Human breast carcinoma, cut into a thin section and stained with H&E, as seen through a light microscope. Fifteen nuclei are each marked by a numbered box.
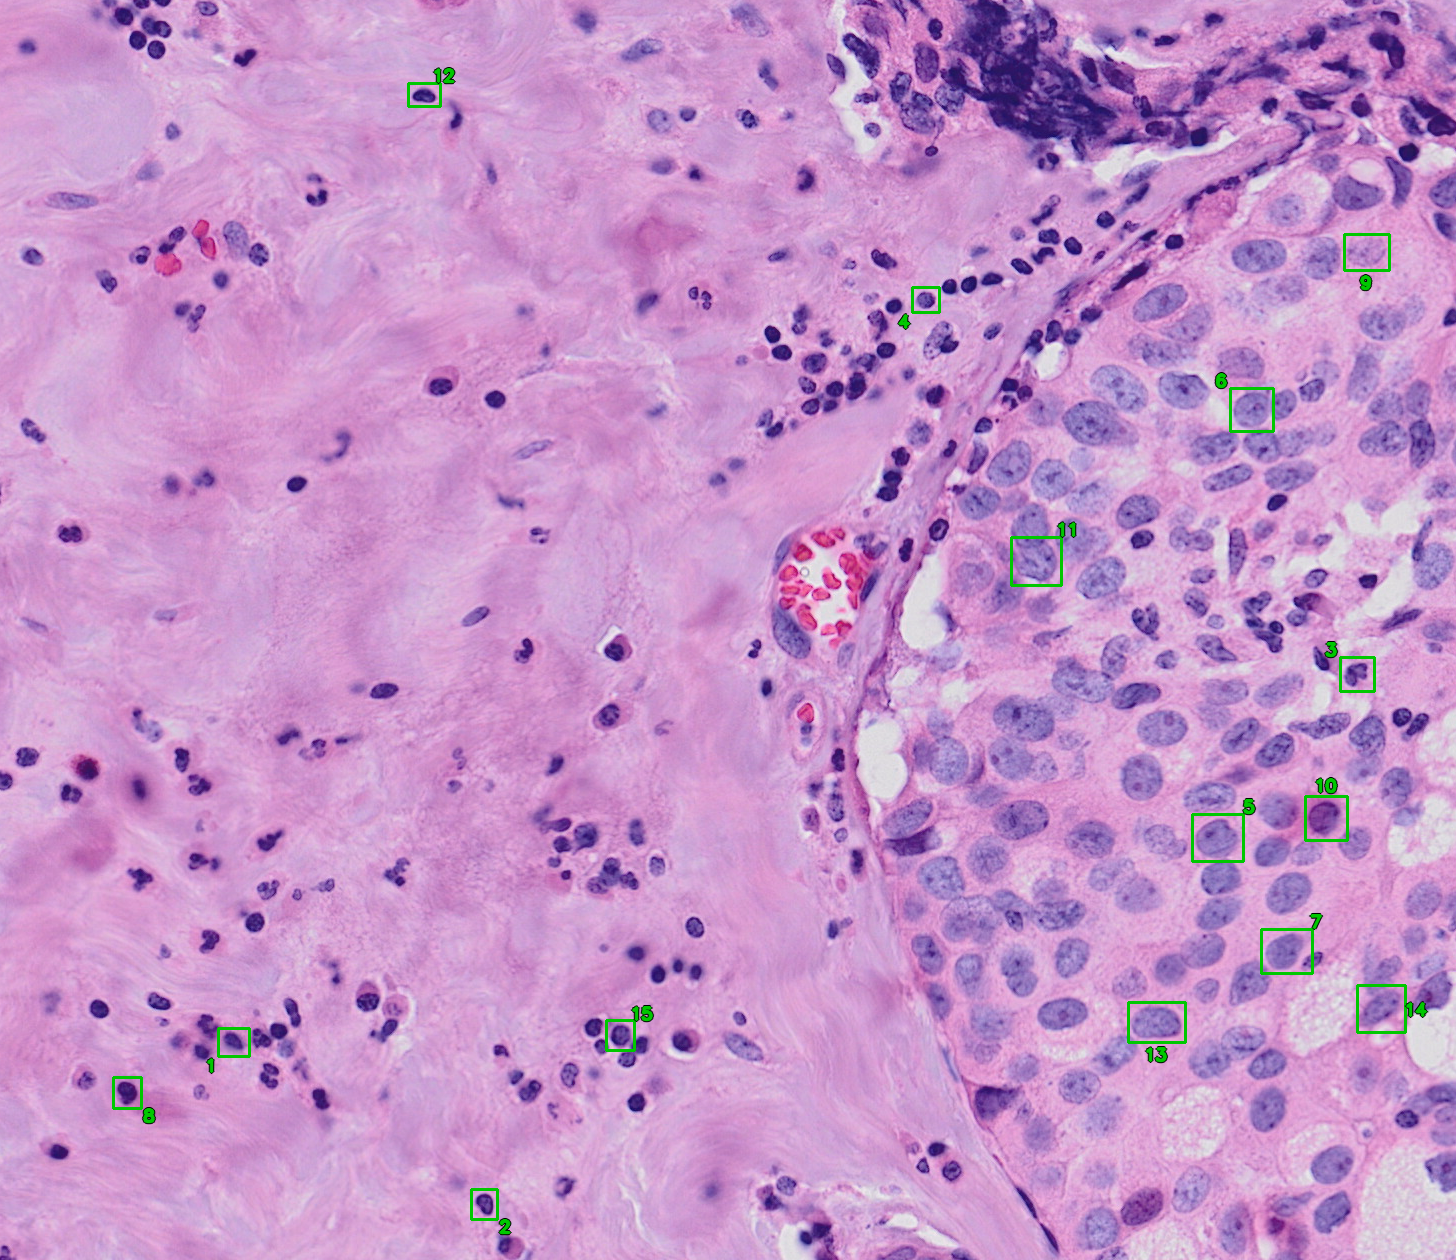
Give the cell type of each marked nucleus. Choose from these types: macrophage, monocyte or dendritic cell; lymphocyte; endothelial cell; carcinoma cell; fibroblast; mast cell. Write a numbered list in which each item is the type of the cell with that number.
1. lymphocyte
2. lymphocyte
3. lymphocyte
4. lymphocyte
5. carcinoma cell
6. carcinoma cell
7. carcinoma cell
8. lymphocyte
9. carcinoma cell
10. carcinoma cell
11. carcinoma cell
12. lymphocyte
13. carcinoma cell
14. carcinoma cell
15. lymphocyte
